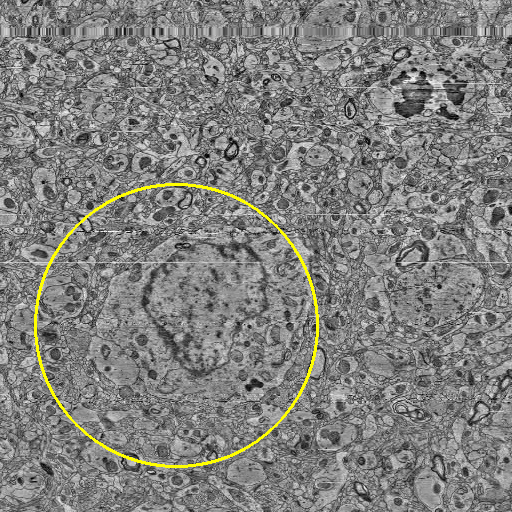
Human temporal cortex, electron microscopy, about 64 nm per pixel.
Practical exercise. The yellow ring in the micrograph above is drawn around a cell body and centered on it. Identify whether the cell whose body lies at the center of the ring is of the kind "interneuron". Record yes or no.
yes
